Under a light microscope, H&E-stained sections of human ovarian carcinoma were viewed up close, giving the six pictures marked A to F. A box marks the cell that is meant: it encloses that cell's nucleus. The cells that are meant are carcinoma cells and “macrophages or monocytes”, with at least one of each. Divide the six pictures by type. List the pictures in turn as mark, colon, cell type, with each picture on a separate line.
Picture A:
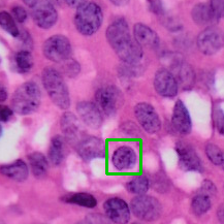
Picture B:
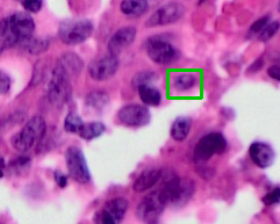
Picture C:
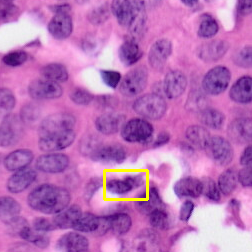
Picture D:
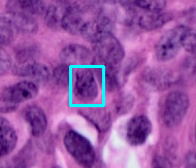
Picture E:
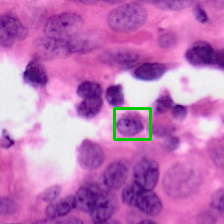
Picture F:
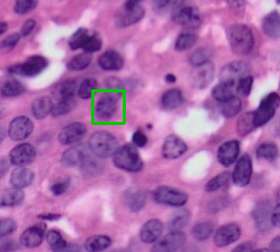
A: macrophage or monocyte
B: macrophage or monocyte
C: carcinoma cell
D: macrophage or monocyte
E: macrophage or monocyte
F: carcinoma cell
